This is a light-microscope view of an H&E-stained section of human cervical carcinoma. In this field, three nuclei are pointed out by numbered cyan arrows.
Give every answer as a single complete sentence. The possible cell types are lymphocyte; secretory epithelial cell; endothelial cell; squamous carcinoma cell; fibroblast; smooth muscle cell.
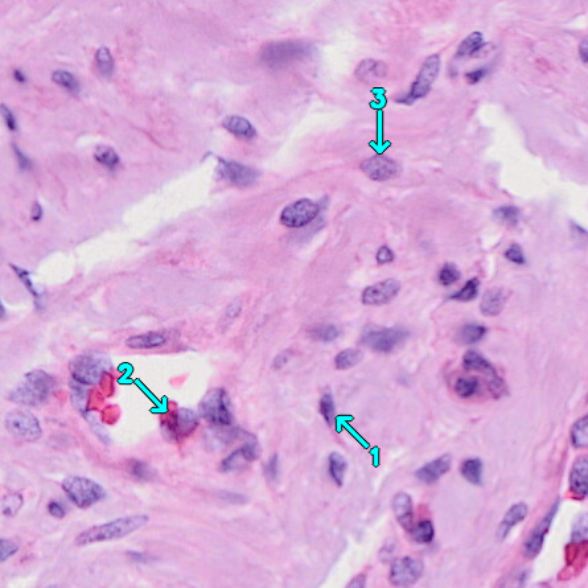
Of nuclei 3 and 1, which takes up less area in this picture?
The smaller nucleus is 1, and 3 covers roughly 1.5 times its area.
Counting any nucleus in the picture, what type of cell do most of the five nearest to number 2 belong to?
Endothelial cells make up most of the five nuclei closest to number 2.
